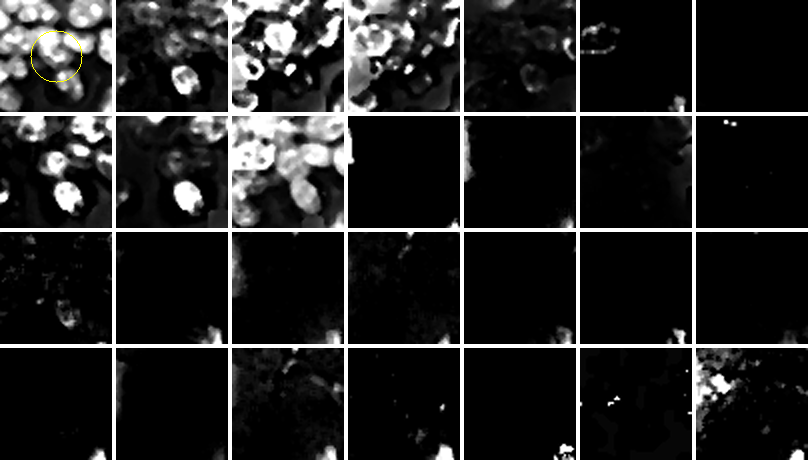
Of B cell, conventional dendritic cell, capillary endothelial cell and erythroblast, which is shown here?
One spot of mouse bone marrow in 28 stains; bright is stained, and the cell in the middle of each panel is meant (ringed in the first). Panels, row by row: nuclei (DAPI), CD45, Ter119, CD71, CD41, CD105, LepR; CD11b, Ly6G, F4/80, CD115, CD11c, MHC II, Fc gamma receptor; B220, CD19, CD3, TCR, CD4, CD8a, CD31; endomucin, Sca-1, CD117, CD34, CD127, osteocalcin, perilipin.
erythroblast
